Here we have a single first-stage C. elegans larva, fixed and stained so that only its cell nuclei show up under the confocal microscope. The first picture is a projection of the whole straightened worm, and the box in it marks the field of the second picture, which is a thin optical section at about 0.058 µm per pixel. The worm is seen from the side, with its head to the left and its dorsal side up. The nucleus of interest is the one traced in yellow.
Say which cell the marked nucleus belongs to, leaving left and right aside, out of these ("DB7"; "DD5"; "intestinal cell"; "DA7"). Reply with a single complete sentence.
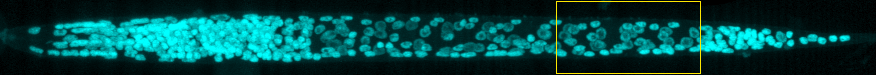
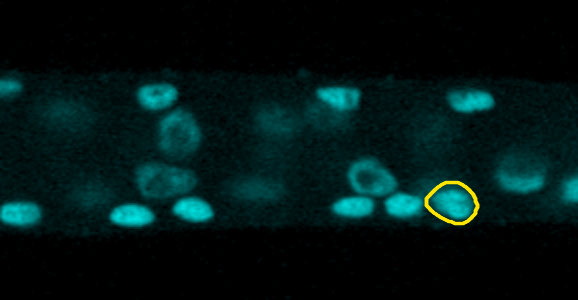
The marked cell is DA7, a neuron.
